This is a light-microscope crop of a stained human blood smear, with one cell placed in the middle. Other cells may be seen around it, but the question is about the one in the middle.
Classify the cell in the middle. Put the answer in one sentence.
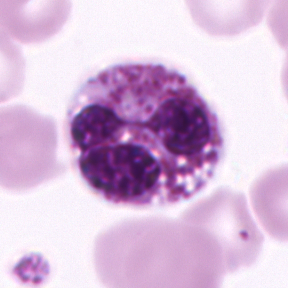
The crop shows an eosinophil in its centre.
